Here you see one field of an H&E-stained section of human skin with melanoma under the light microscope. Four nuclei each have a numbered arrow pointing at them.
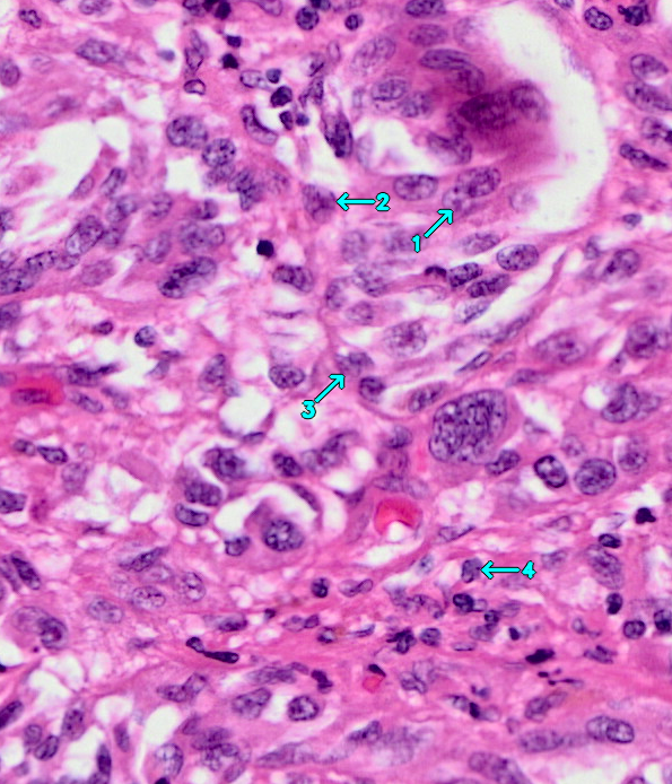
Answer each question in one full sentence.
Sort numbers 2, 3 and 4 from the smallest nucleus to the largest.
The order from the smallest nucleus to the largest is 4, 3, 2.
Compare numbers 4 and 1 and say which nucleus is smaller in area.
With nucleus 1 about 4 times its size, nucleus 4 is the smaller of the two.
